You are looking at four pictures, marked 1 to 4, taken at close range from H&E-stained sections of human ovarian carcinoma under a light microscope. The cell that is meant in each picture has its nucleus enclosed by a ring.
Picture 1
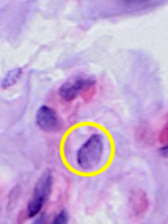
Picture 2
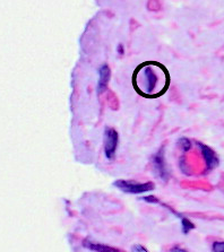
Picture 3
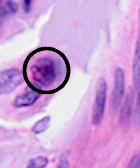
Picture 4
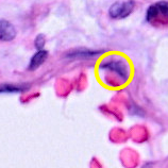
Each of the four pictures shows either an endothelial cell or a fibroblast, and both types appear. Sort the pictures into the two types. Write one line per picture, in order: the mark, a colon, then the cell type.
1: fibroblast
2: fibroblast
3: endothelial cell
4: endothelial cell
